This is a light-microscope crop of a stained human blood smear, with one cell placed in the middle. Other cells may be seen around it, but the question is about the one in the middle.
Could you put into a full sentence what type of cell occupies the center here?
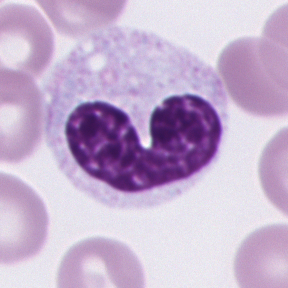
The cell marked by its central position in the crop is a band neutrophil.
